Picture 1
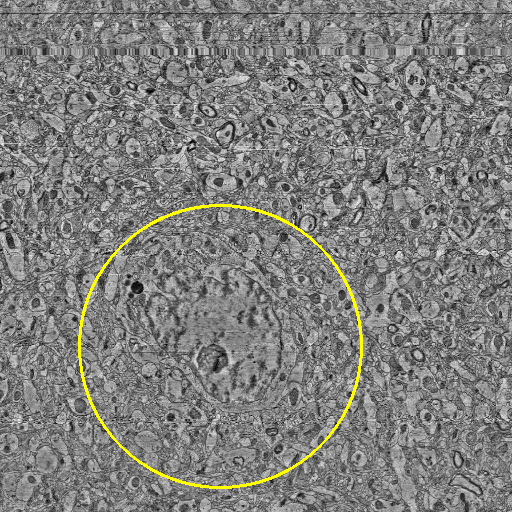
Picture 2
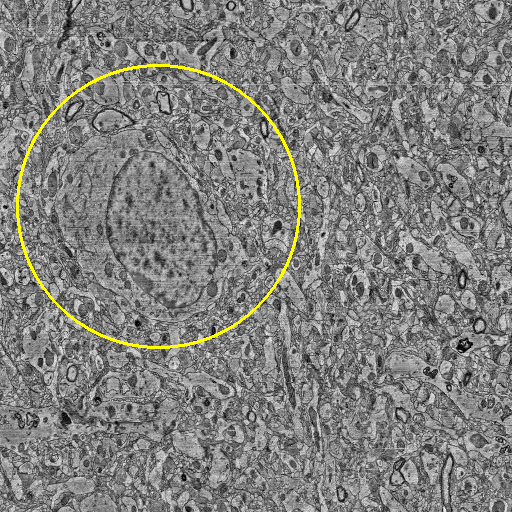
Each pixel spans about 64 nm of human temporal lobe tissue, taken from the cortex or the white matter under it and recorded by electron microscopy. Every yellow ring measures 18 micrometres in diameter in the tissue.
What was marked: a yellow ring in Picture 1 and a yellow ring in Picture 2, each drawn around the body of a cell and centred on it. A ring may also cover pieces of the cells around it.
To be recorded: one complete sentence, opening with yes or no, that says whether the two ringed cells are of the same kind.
Yes, the two ringed cells are of the same kind.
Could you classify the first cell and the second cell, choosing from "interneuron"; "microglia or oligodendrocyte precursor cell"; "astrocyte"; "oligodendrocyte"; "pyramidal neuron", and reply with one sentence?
The second cell is an interneuron, just as the first is.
